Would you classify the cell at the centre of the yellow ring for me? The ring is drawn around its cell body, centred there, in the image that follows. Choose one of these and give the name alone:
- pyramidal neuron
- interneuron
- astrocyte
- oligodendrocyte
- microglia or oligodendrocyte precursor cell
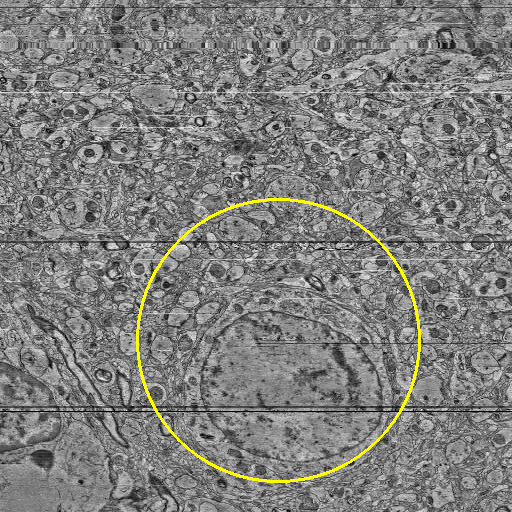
pyramidal neuron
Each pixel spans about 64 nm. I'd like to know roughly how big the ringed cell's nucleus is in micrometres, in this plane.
The nucleus appears roughly 12 by 9 micrometres in this plane.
